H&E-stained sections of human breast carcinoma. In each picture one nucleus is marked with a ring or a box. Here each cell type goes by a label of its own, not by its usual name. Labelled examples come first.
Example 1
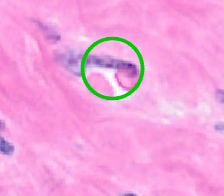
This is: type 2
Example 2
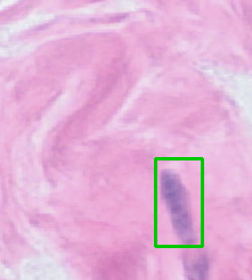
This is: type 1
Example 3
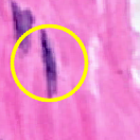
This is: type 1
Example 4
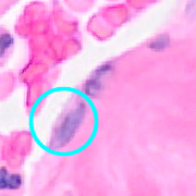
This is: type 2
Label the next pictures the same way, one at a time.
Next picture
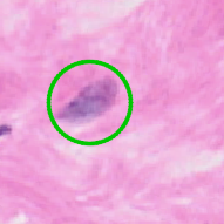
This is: type 1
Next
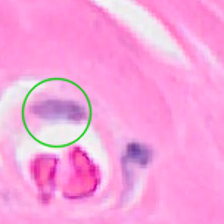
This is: type 2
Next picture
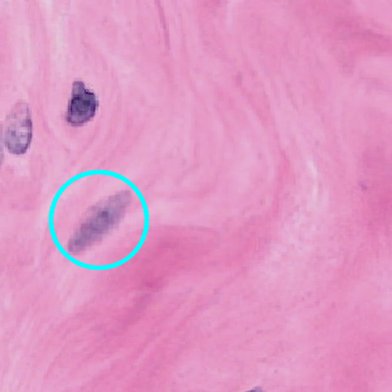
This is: type 1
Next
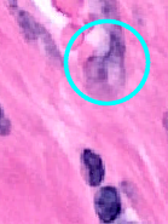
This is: type 2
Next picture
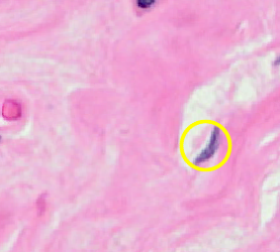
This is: type 1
